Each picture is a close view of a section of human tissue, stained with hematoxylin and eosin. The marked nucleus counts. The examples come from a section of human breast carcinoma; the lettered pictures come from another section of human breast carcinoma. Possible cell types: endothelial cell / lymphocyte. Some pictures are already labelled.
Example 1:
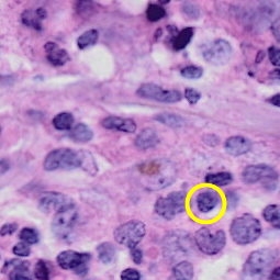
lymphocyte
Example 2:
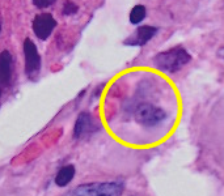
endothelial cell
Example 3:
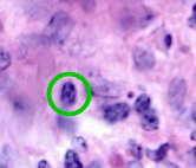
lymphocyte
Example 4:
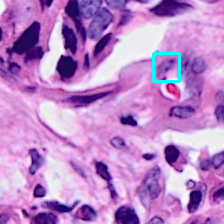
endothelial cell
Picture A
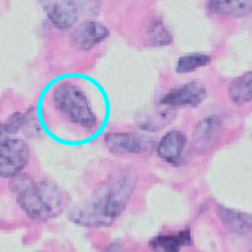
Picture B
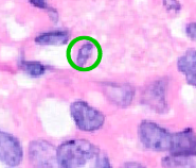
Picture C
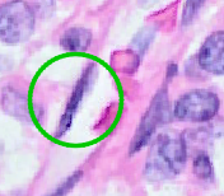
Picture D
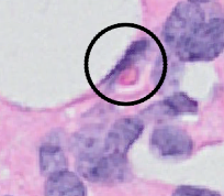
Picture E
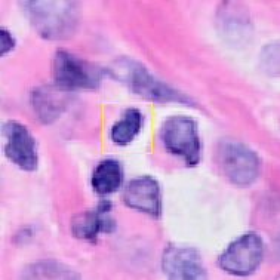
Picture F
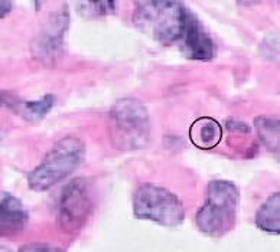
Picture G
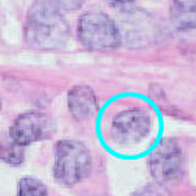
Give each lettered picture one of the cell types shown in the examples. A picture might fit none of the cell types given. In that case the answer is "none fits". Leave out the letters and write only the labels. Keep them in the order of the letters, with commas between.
none fits, endothelial cell, endothelial cell, endothelial cell, lymphocyte, endothelial cell, none fits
